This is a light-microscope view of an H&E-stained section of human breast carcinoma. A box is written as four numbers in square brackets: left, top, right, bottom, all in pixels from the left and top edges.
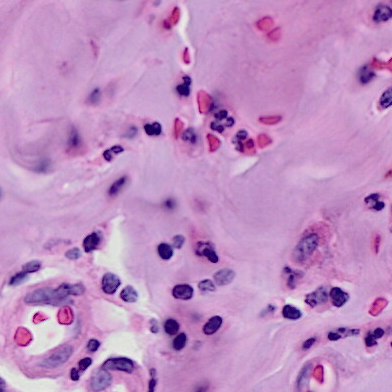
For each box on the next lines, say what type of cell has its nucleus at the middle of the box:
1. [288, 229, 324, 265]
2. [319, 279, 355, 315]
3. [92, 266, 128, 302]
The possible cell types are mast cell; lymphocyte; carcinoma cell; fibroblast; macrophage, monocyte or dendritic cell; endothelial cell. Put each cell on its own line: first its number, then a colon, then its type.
1: mast cell
2: lymphocyte
3: lymphocyte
